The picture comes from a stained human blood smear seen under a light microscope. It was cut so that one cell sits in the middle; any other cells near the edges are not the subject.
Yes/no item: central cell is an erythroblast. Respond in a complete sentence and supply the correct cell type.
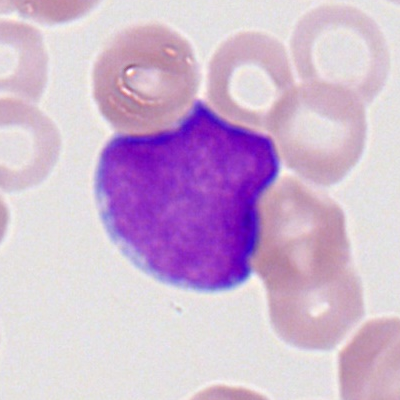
No, not an erythroblast: the cell in the middle of this crop is a myeloblast.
